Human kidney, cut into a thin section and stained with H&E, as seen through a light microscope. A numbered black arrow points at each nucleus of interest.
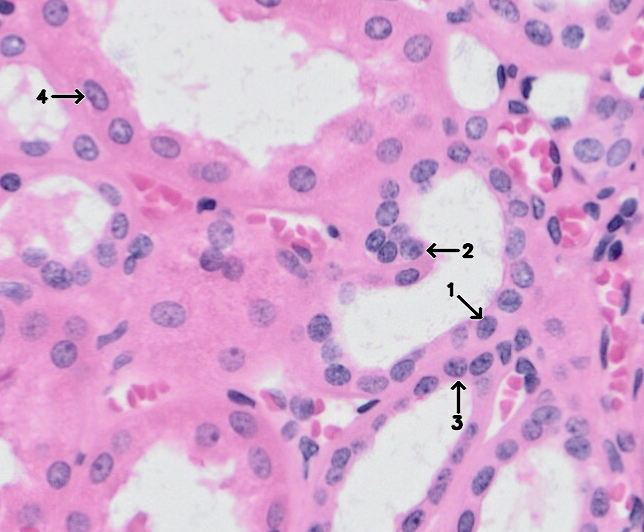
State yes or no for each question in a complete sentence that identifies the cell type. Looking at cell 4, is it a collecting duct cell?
No, the cell under number 4 is a proximal tubule cell instead of a collecting duct cell.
